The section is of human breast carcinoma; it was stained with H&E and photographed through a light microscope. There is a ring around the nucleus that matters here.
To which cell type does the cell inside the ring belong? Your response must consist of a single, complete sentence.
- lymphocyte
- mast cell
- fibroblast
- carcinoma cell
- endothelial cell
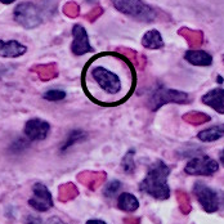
Students should answer that the cell inside the ring is a lymphocyte.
